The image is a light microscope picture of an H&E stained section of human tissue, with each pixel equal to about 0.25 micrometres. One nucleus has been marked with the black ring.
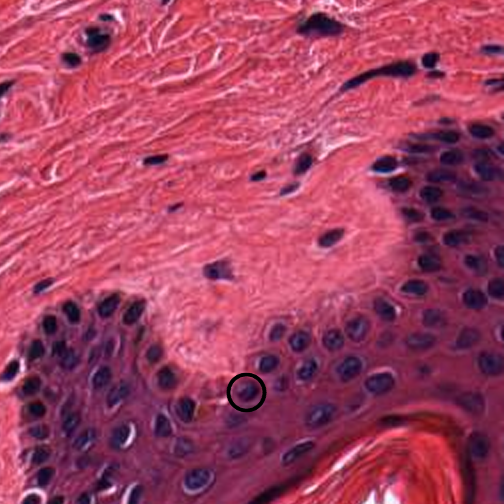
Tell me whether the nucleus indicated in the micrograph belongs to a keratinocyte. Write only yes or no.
yes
